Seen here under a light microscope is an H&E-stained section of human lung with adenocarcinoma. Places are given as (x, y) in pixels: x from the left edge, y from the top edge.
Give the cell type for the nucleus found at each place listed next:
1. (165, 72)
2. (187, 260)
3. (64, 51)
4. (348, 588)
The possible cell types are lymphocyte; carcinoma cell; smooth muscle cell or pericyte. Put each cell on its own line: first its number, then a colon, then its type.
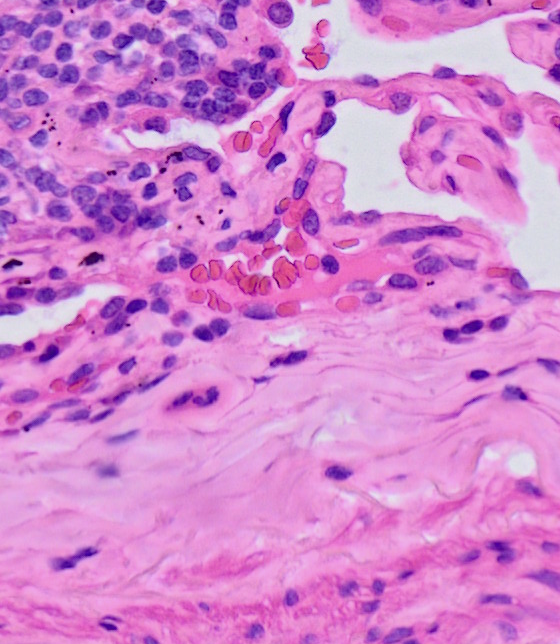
1: lymphocyte
2: lymphocyte
3: lymphocyte
4: smooth muscle cell or pericyte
